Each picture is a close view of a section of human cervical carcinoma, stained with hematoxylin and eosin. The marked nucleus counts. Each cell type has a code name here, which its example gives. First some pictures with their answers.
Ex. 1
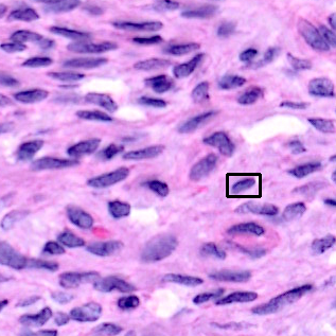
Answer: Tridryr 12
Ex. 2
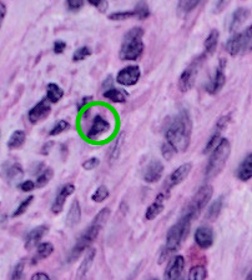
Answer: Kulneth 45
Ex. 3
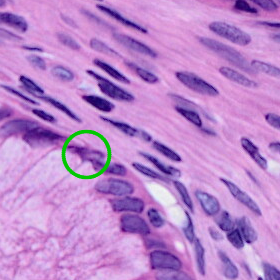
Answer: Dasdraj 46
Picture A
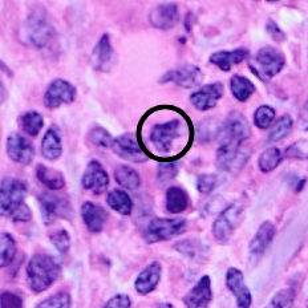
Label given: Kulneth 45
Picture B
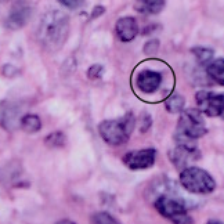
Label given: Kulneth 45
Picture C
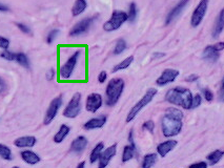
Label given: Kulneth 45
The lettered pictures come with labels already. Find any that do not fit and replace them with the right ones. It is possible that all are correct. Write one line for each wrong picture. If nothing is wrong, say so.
C should be Tridryr 12, not Kulneth 45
